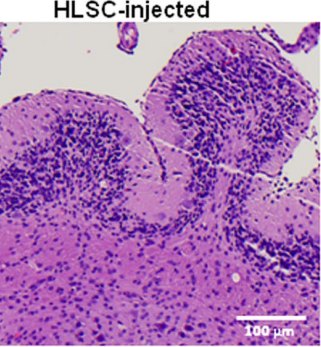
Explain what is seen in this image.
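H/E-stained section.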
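This is cerebellum with folded lobules, each showing a dense band of small dark-blue granule-layer nuclei beneath a pale pink molecular layer. The folds meet at a narrow cleft, with the thin pial surface lining the outer edge and empty space above. The deeper tissue below the folia shows evenly scattered nuclei in a pink background. No strongly red-pink neuronal cell bodies stand out here.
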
